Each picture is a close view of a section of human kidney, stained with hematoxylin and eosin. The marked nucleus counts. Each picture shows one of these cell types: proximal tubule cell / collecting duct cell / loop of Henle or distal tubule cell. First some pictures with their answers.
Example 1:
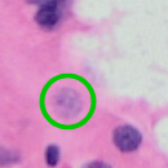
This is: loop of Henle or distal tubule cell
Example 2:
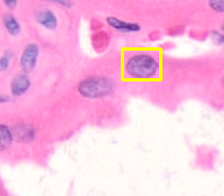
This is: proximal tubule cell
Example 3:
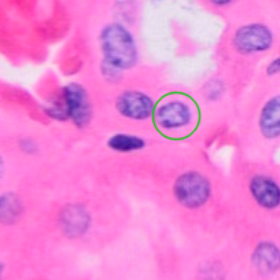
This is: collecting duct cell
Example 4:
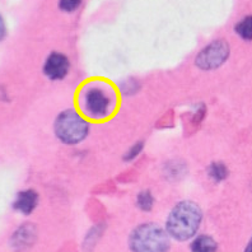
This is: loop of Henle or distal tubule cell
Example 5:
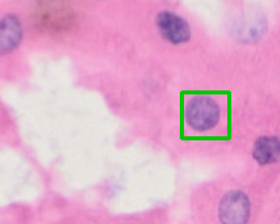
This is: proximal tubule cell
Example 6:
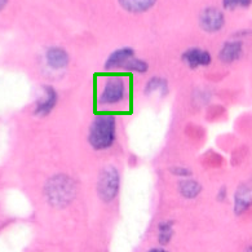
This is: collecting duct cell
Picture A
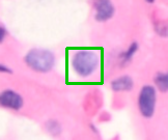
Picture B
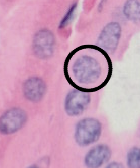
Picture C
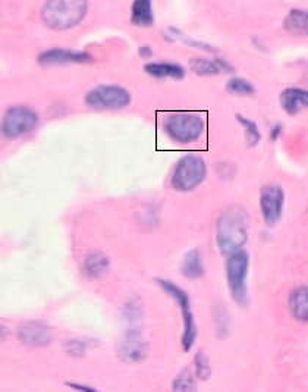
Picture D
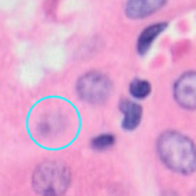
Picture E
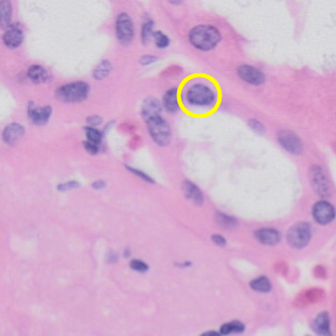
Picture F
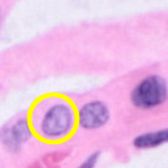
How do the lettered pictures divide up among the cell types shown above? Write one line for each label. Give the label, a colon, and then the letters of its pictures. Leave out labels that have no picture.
proximal tubule cell: D
collecting duct cell: B, E, F
loop of Henle or distal tubule cell: A, C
